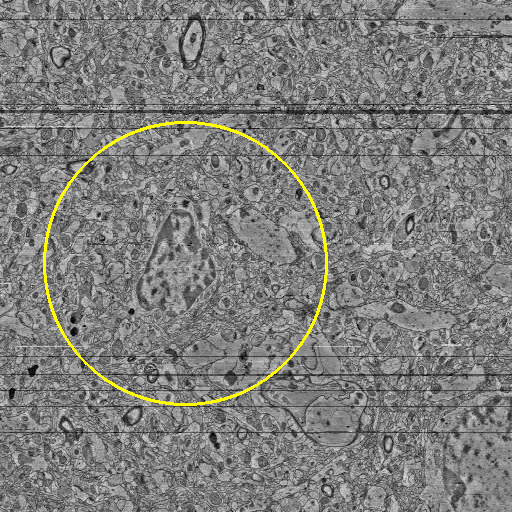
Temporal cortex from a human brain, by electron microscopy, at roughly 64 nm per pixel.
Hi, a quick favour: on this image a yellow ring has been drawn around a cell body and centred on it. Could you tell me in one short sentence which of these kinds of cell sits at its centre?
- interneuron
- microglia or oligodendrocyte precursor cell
The ring is centred on a microglial cell or oligodendrocyte precursor cell.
